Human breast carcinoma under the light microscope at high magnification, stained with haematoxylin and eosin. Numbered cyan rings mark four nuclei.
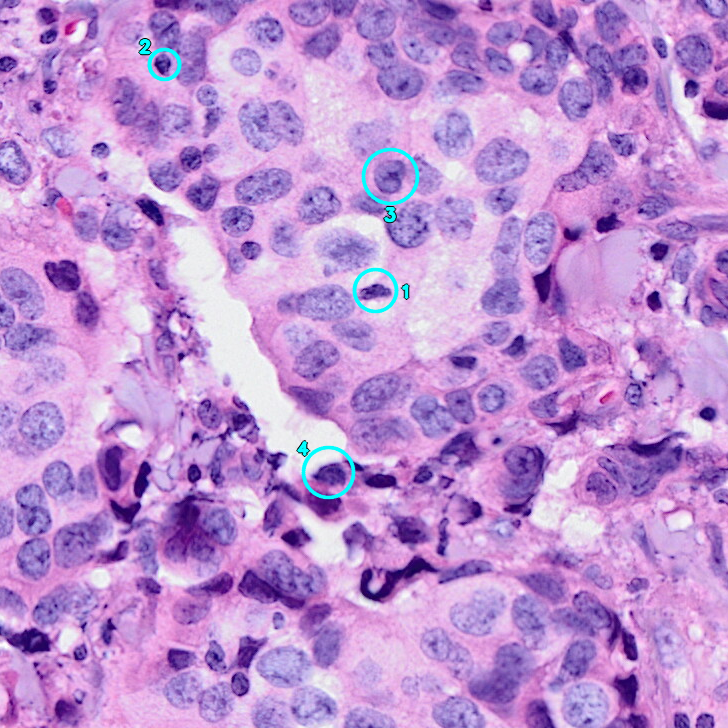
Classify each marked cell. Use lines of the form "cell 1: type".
cell 1: lymphocyte
cell 2: lymphocyte
cell 3: carcinoma cell
cell 4: carcinoma cell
